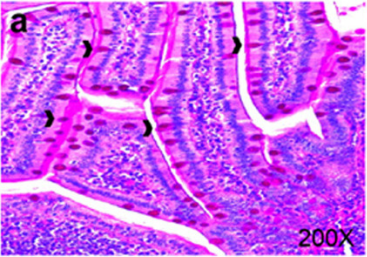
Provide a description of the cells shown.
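Intestinal villi lined by a simple columnar epithelium, with goblet cells scattered singly along it. The goblet cells are oval and filled with dark magenta material, standing out against the paler purple cytoplasm of the neighbouring absorptive cells. Epithelial nuclei form a dense basal row along each villus. The villus cores hold loose connective tissue crowded with small nuclei. Narrow clefts separate adjacent villi.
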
